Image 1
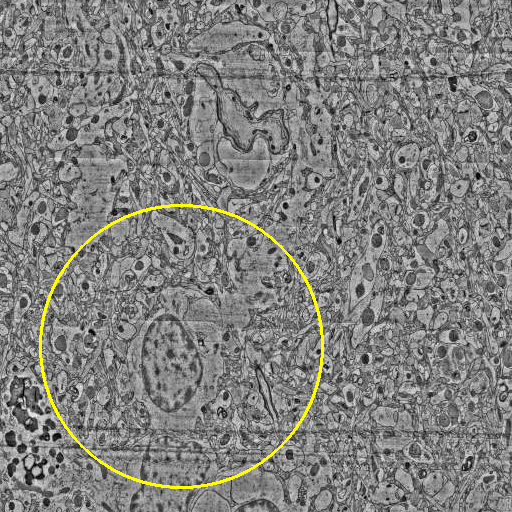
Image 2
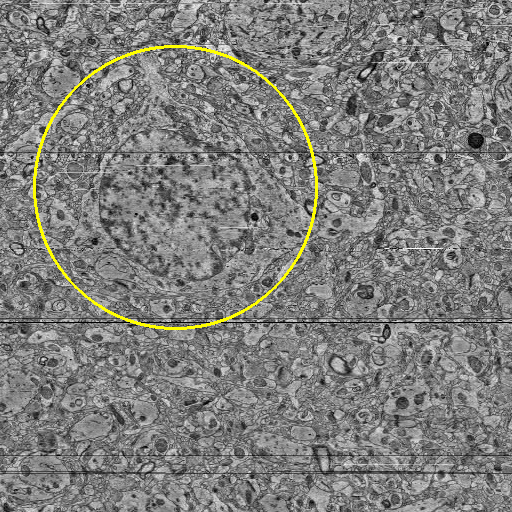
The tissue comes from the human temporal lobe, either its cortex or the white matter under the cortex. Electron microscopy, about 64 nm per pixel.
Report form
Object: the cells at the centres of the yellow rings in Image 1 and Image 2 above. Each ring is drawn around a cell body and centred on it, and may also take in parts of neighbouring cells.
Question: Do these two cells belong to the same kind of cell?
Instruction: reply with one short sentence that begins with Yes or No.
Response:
No, they belong to two kinds of cell.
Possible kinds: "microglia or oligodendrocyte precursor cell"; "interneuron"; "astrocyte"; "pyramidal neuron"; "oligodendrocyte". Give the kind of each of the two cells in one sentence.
The cell in the second picture is an interneuron, and that in the first is an astrocyte.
